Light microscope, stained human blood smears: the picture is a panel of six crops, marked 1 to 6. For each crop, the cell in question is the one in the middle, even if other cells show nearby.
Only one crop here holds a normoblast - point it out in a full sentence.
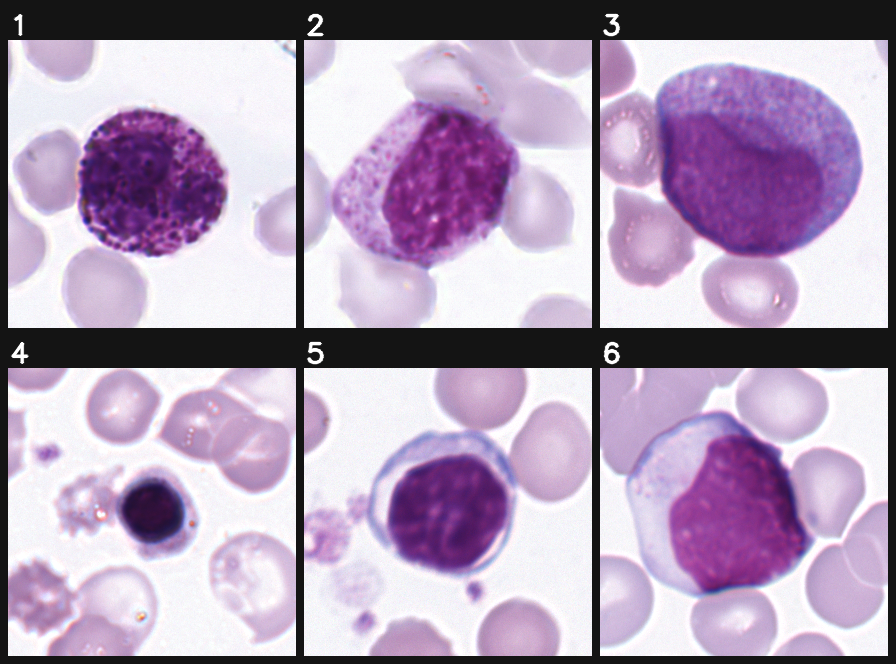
Of the labelled crops, the one that shows a normoblast is crop 4.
